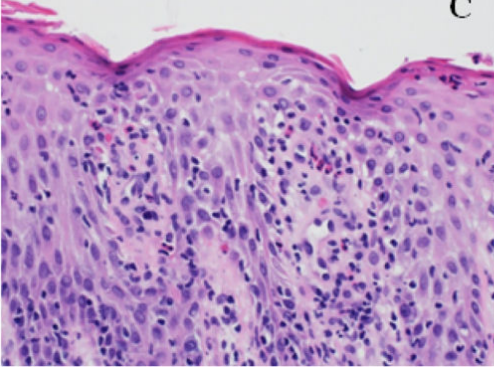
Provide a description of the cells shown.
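Skin with an atypical lymphoid infiltrate crowding the lower epidermis and dermal papillae. The lymphoid cells have dark, irregular nuclei of varying size and lie singly among keratinocytes within the epidermis, some in clear halos. Scattered cells with bright pink cytoplasm, eosinophils, lie among the infiltrate. The surface bears a thin pink keratin layer.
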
